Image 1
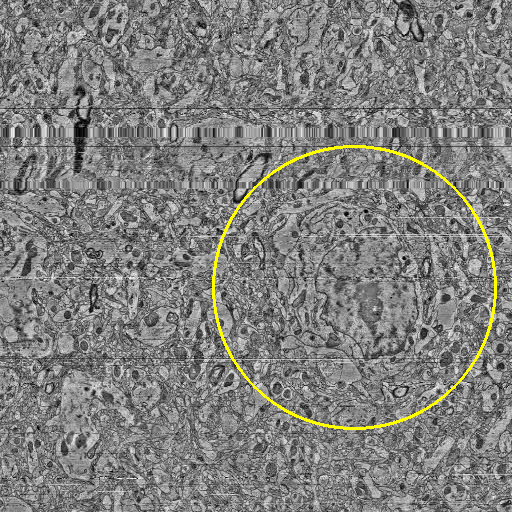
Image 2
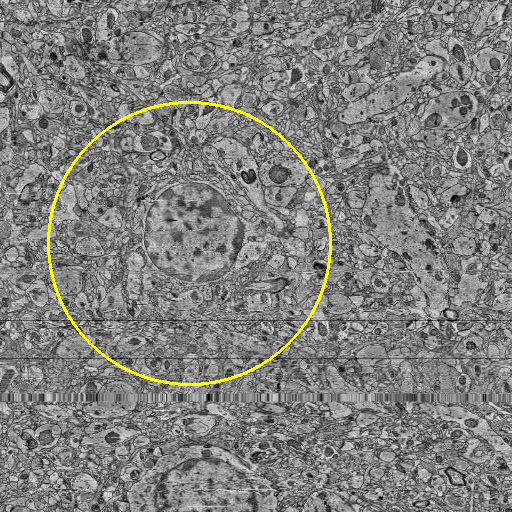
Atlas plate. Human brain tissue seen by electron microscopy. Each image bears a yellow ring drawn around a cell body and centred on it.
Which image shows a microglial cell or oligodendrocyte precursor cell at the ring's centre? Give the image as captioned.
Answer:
Image 2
